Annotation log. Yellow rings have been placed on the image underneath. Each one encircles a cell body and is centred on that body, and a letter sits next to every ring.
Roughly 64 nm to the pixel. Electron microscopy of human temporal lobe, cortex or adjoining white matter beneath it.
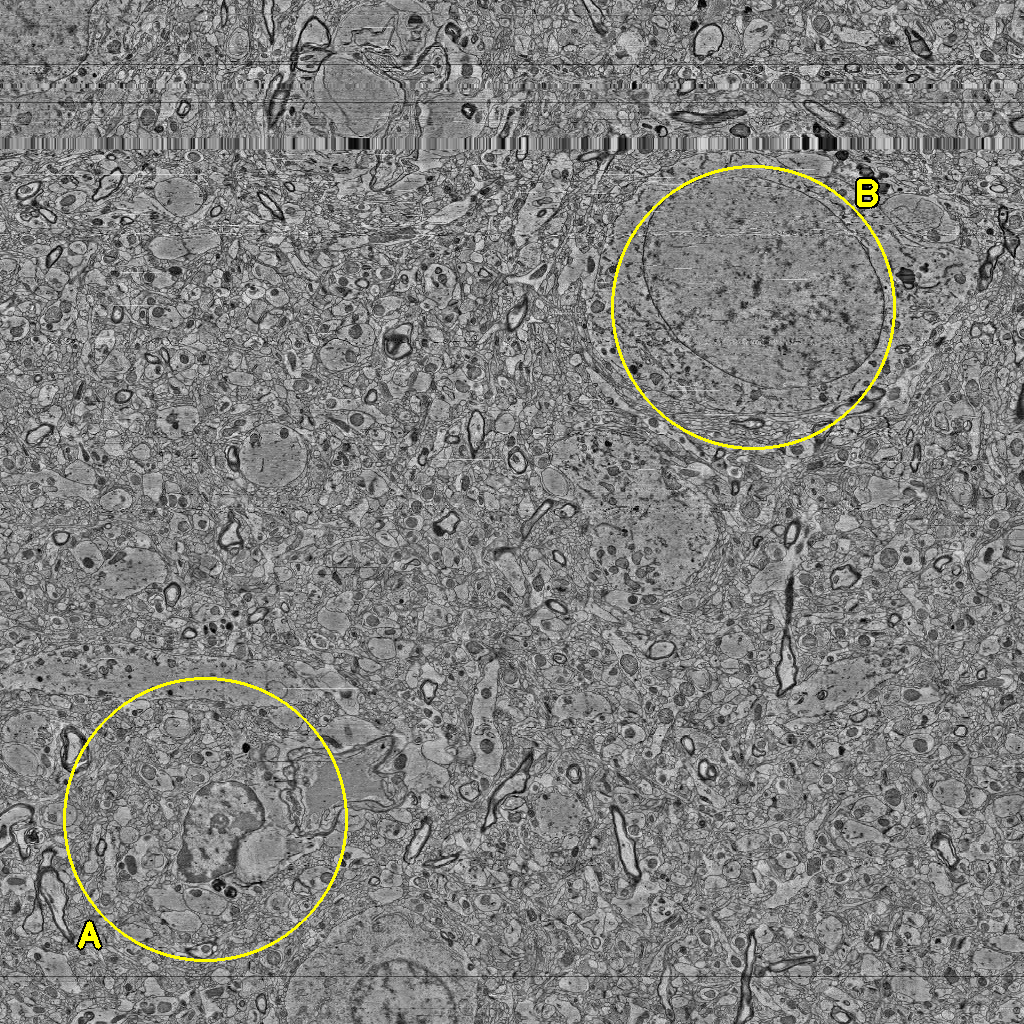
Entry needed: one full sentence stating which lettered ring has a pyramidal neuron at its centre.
The cell asked for sits at the centre of Ring B in the picture.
